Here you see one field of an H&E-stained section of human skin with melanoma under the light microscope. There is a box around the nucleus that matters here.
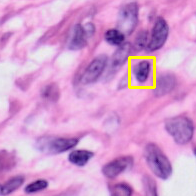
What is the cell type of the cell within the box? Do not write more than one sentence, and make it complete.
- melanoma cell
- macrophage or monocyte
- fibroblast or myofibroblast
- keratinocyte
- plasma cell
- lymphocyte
As far as its identity is concerned, the cell within the box is a lymphocyte.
